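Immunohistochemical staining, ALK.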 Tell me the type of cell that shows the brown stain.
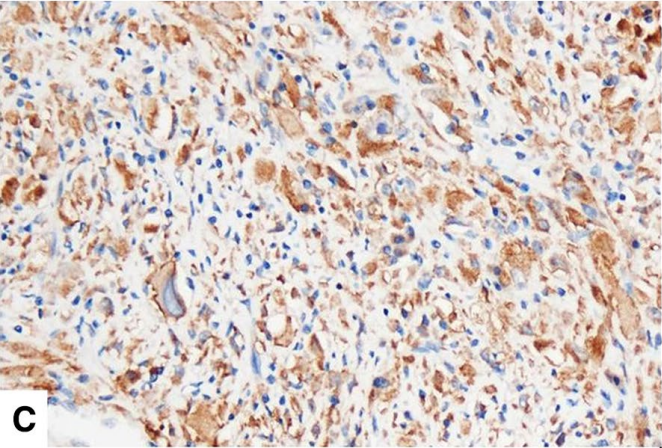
Spindle tumor cells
